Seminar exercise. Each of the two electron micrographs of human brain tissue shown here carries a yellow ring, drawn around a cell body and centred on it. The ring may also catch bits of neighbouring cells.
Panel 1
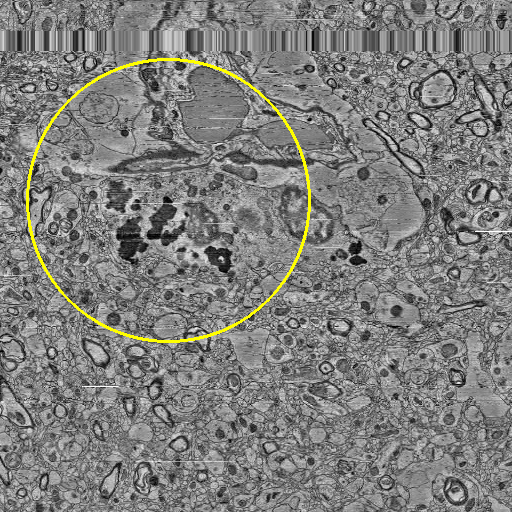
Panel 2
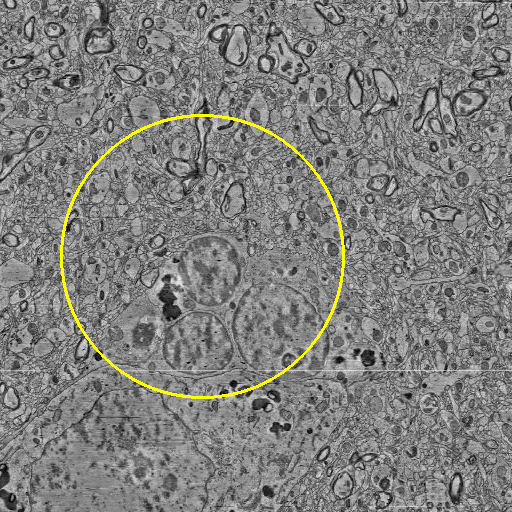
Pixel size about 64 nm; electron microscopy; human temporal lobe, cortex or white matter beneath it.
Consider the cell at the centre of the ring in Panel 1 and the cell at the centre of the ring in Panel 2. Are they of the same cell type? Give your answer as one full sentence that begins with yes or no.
Yes, both cells are of the same type.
